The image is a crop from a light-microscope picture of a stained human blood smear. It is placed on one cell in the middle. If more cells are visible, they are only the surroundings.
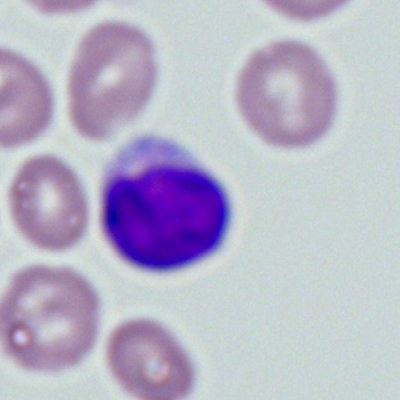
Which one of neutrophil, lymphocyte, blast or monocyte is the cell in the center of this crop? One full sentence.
The cell that lies at the centre of the crop is a lymphocyte.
